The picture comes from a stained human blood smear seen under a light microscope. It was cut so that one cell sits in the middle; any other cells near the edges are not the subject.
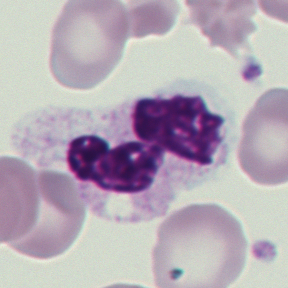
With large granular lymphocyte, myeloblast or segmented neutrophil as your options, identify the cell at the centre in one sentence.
The cell of interest, in the center, is a segmented neutrophil.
